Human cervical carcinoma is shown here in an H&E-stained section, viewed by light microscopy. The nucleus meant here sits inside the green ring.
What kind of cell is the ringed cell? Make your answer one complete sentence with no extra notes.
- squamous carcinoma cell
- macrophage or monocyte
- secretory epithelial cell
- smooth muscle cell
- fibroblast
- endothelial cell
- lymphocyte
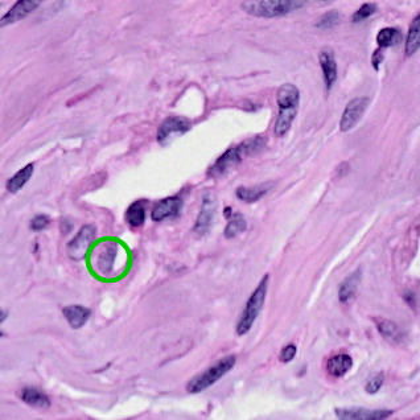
By its classification, the ringed cell is an endothelial cell.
